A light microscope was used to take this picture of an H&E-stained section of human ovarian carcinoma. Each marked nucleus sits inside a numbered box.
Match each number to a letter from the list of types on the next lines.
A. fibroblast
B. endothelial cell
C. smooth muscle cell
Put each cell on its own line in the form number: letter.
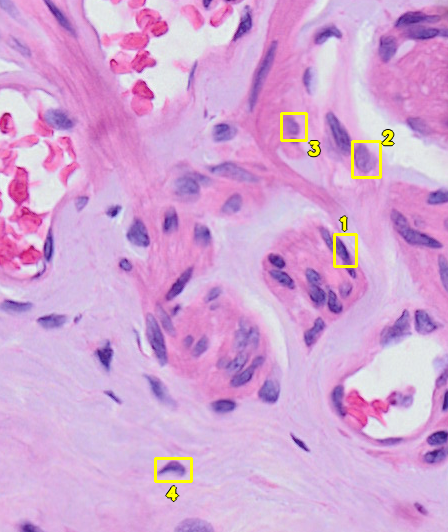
1: C
2: B
3: C
4: A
